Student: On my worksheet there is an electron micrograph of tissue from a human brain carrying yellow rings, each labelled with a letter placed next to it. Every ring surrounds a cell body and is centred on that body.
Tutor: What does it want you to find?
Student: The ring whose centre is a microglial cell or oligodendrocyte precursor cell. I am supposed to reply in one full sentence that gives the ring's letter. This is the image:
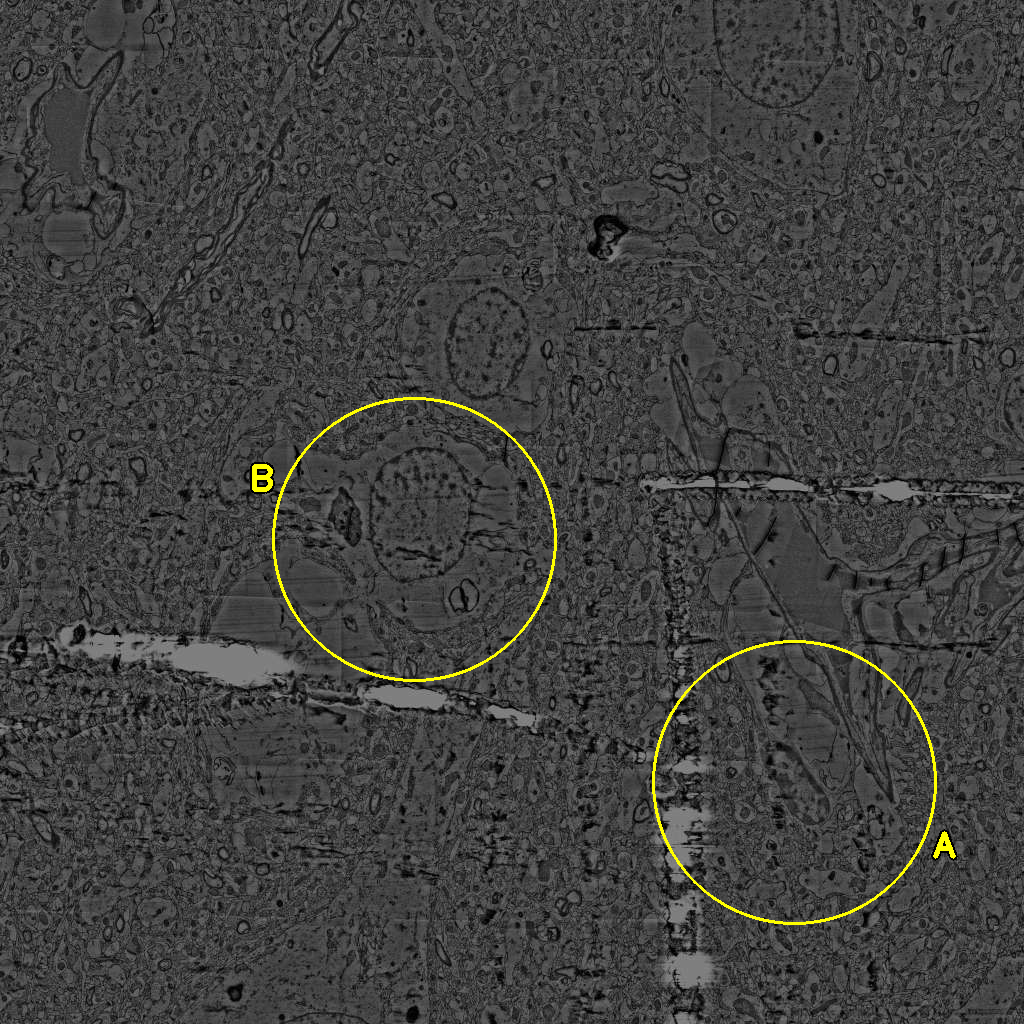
The cell asked for, shown in the picture, lies at the centre of ring A.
